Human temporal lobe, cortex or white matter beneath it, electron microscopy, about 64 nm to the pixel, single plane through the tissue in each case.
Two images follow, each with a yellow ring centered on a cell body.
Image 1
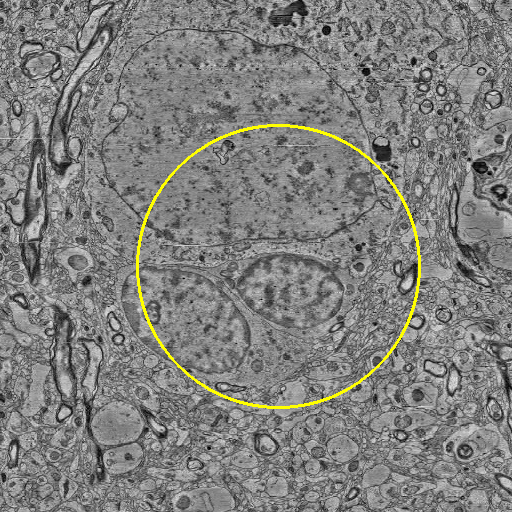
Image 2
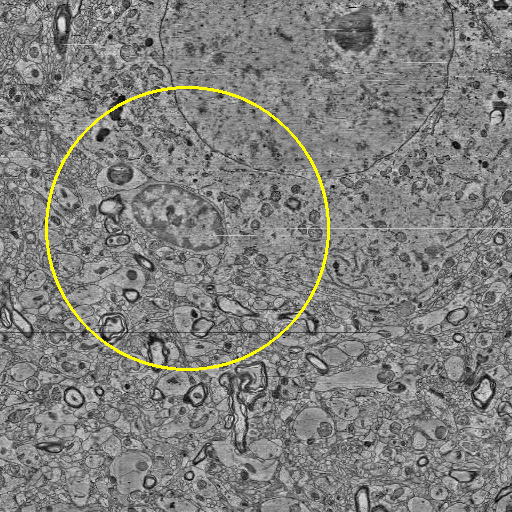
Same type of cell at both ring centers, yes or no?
yes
